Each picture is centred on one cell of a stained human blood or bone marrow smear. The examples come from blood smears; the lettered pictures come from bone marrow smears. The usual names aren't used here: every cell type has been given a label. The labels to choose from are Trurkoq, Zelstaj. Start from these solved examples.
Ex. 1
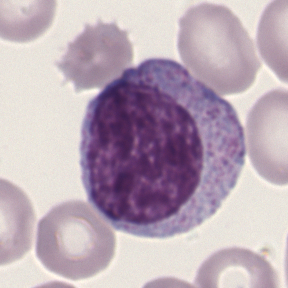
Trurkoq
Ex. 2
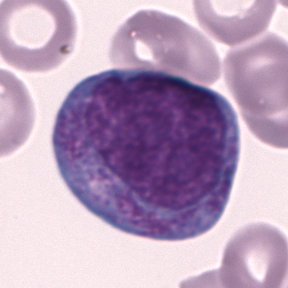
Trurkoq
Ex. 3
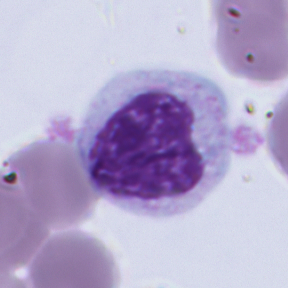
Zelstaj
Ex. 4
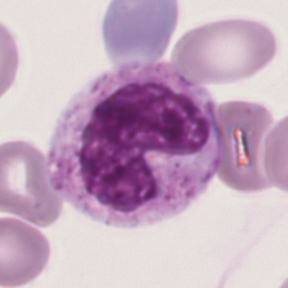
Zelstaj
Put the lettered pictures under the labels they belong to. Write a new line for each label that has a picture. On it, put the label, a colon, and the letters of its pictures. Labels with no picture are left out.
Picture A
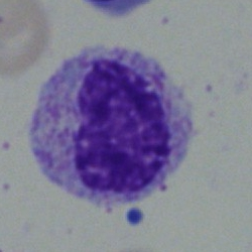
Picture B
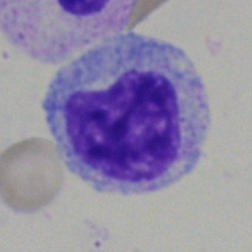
Zelstaj: A, B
